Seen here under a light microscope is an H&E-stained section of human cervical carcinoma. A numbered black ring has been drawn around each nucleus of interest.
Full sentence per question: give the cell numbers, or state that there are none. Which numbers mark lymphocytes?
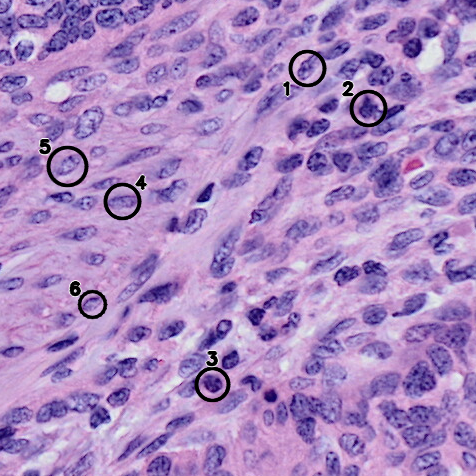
The cells shown with numbers 1, 2 and 3 are lymphocytes.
